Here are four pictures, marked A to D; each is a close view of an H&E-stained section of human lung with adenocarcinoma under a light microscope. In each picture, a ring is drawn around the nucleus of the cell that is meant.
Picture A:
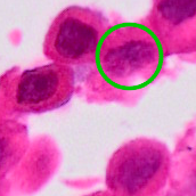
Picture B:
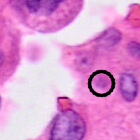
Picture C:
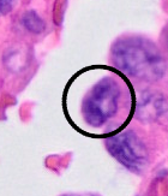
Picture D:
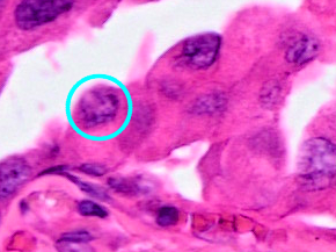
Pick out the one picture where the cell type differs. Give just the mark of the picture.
B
